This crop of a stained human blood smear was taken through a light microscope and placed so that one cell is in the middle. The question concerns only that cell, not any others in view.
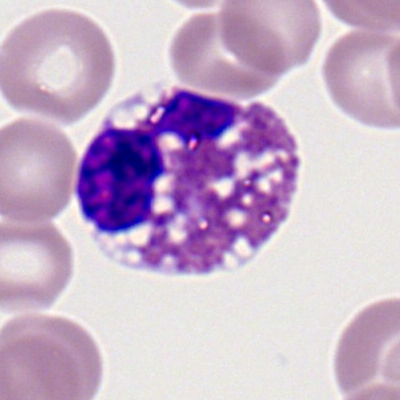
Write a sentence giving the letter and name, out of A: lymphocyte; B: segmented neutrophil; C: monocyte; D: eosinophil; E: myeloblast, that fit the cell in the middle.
The cell in the centre of the crop is an eosinophil, so option D is the correct one.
